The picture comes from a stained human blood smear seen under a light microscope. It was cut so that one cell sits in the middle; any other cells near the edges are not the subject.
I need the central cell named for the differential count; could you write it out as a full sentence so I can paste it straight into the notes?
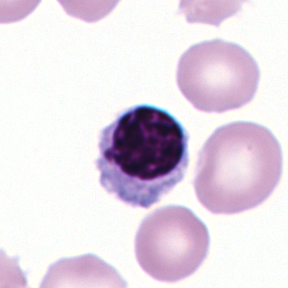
The cell centered in this field of view is an erythroblast.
